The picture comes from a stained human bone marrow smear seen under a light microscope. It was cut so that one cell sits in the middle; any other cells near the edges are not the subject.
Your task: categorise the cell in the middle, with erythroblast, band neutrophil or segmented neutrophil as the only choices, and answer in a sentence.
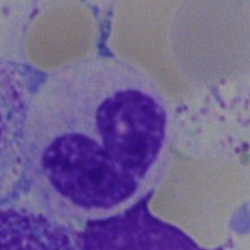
The single cell at the center of the crop is a band neutrophil.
